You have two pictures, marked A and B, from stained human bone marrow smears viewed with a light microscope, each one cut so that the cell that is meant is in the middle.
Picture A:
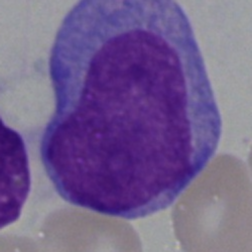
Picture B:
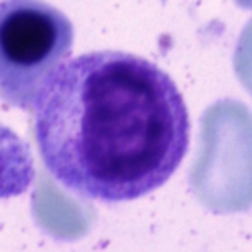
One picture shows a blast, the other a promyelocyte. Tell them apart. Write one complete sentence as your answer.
Picture B shows a promyelocyte, while picture A shows a blast.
